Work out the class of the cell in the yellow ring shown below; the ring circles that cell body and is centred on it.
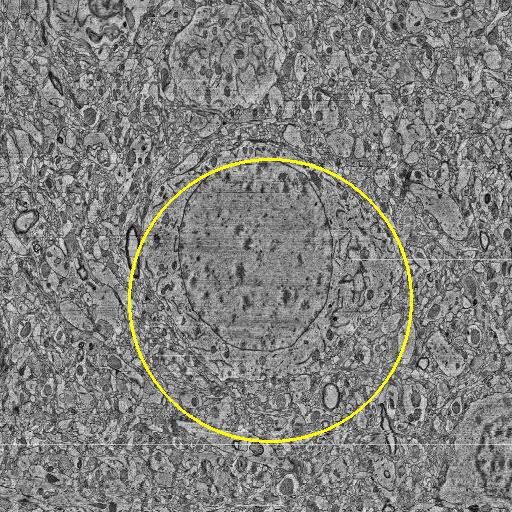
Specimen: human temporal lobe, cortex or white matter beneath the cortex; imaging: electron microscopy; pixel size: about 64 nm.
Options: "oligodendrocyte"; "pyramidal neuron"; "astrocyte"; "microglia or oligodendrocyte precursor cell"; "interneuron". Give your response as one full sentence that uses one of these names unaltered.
The body ringed in yellow, right at the ring's centre, is that of a pyramidal neuron.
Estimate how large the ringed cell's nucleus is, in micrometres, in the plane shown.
Approximately 13 by 10 micrometers in this plane.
